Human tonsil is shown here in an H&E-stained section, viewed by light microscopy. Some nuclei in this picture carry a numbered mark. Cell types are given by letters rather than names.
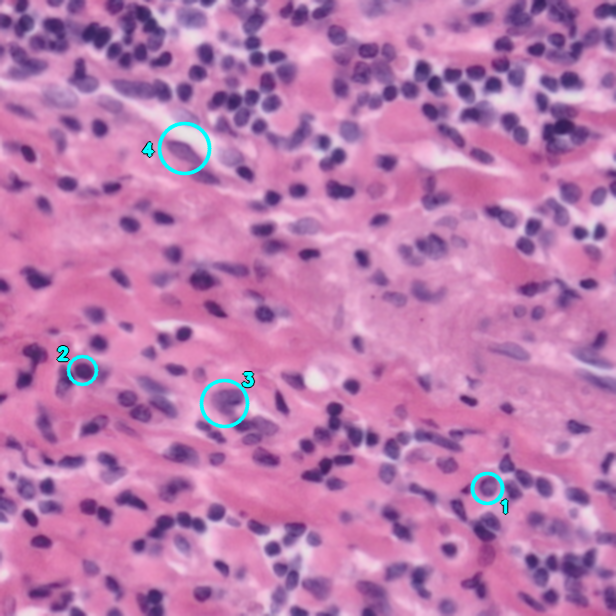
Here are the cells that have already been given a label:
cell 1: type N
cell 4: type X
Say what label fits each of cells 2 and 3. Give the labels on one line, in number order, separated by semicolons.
type N; type X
